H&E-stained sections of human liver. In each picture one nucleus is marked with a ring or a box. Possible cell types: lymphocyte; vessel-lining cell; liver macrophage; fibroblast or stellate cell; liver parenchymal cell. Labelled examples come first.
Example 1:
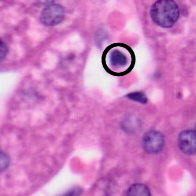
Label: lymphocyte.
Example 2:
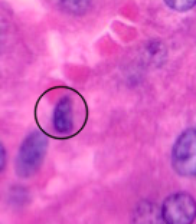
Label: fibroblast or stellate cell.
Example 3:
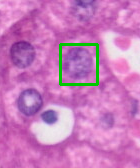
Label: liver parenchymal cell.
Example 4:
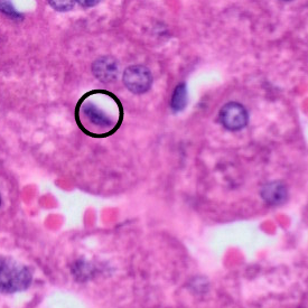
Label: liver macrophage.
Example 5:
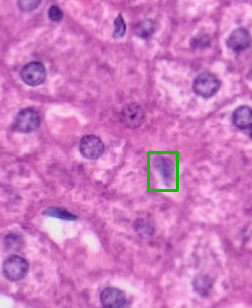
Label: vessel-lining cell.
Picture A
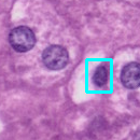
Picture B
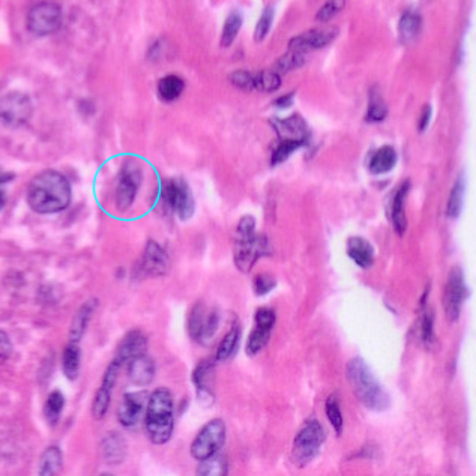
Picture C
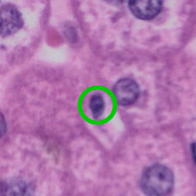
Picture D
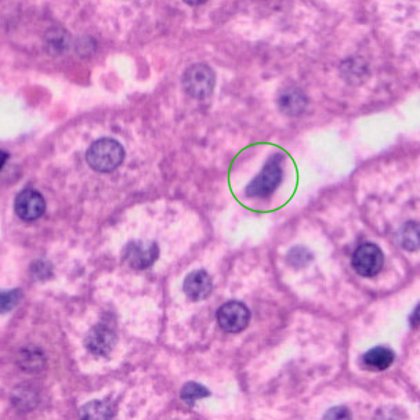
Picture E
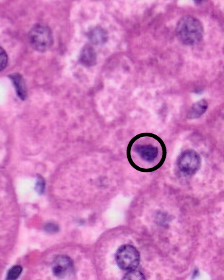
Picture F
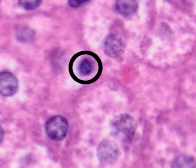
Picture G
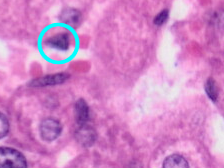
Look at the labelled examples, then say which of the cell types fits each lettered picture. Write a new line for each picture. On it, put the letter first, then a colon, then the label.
A: liver macrophage.
B: fibroblast or stellate cell.
C: lymphocyte.
D: liver macrophage.
E: fibroblast or stellate cell.
F: lymphocyte.
G: vessel-lining cell.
